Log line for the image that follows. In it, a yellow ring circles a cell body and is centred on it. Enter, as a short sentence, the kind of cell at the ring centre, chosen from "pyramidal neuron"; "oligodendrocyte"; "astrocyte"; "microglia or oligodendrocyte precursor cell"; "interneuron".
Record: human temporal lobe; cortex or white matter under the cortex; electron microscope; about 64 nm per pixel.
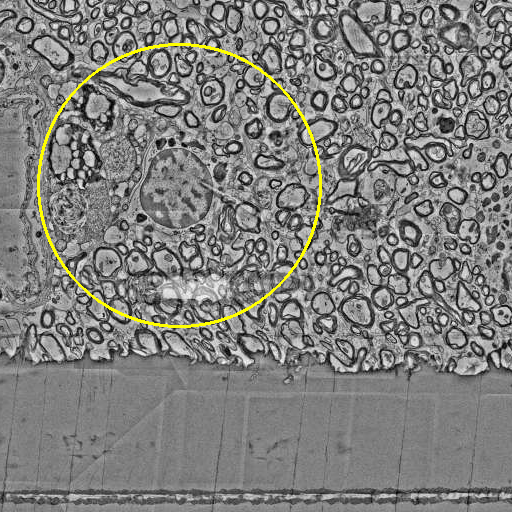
The ring centre is occupied by a microglial cell or oligodendrocyte precursor cell.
